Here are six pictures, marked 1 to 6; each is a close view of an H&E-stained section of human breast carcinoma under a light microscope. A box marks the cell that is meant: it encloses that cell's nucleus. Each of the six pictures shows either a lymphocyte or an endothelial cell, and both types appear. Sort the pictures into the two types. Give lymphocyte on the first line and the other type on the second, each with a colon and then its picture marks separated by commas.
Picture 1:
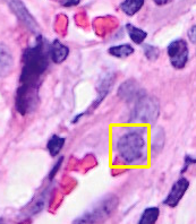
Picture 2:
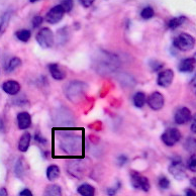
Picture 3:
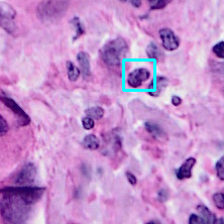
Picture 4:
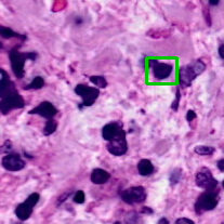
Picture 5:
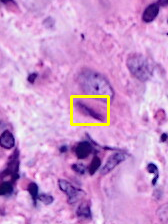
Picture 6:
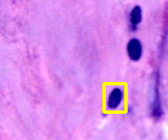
lymphocyte: 3, 4, 6
endothelial cell: 1, 2, 5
